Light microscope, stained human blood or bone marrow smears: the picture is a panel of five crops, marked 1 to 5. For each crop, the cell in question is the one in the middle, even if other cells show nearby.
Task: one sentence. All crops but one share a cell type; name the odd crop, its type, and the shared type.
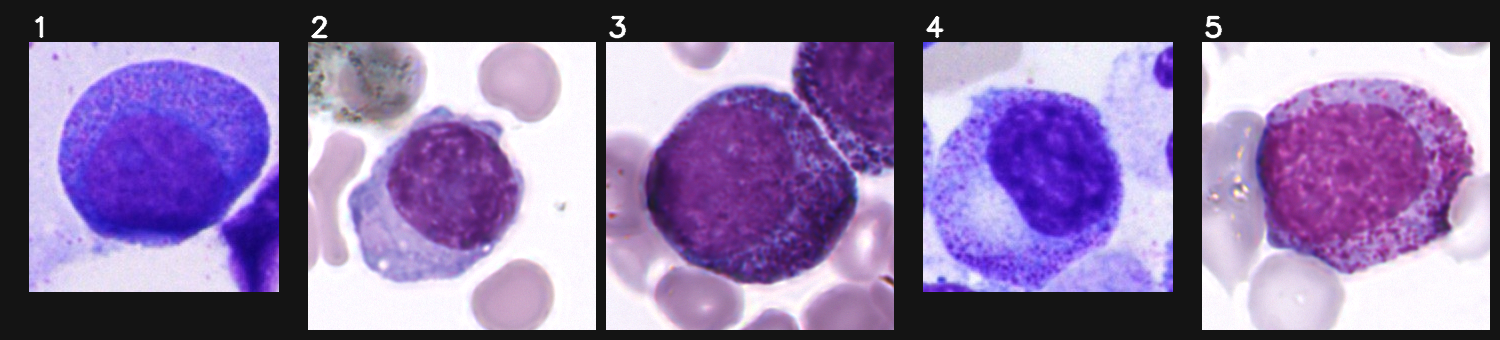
All crops show promyelocytes except crop 2, which is a plasma cell.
